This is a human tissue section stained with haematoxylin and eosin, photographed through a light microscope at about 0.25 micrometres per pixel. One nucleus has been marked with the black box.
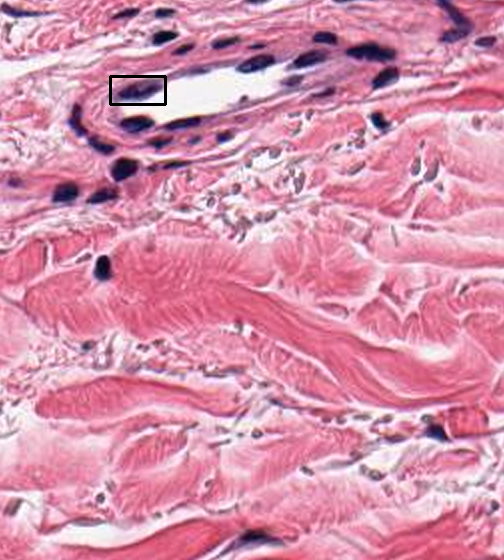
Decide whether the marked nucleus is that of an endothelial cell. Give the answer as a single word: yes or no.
yes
